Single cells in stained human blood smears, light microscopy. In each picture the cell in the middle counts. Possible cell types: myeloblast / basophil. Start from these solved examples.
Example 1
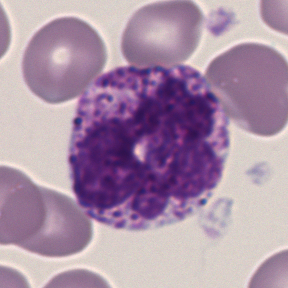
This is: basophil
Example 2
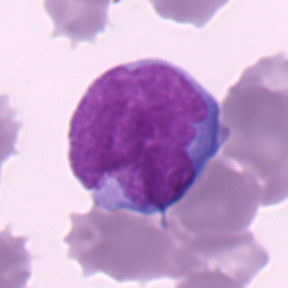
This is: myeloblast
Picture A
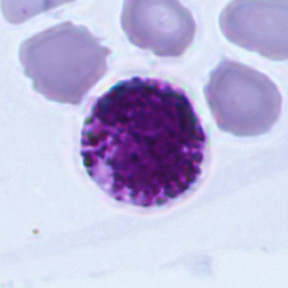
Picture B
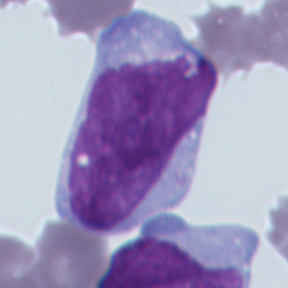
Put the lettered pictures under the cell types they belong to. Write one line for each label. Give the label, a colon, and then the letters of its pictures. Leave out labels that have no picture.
myeloblast: B
basophil: A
